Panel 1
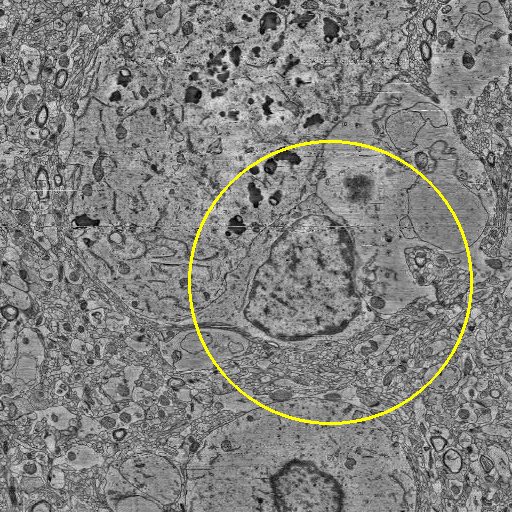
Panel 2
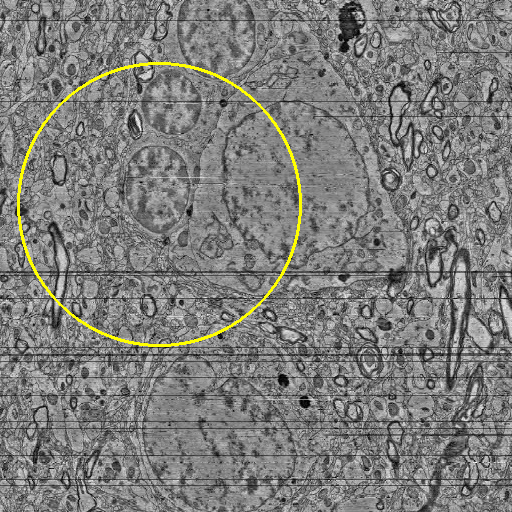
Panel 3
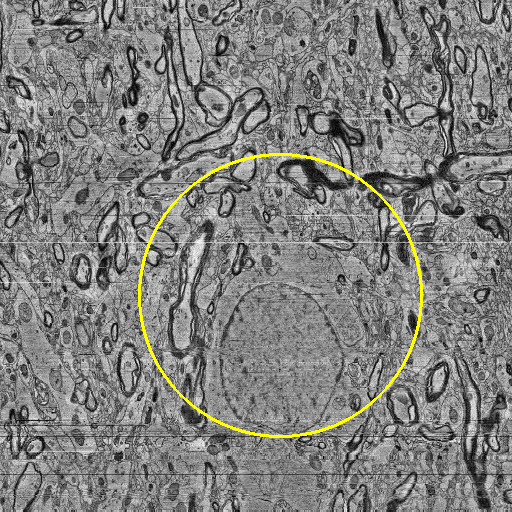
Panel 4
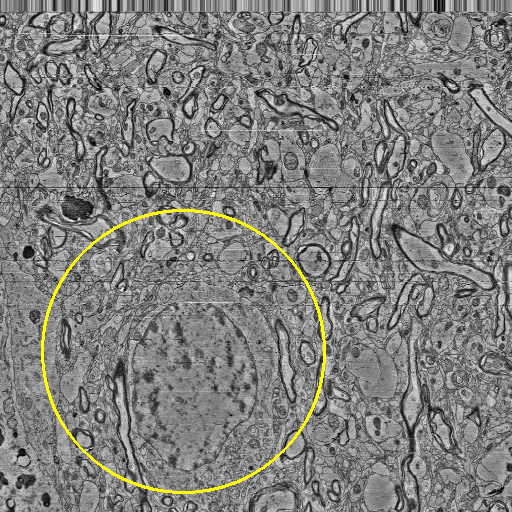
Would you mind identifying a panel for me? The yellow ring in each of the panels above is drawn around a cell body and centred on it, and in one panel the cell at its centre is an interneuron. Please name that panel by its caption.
Panel 4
